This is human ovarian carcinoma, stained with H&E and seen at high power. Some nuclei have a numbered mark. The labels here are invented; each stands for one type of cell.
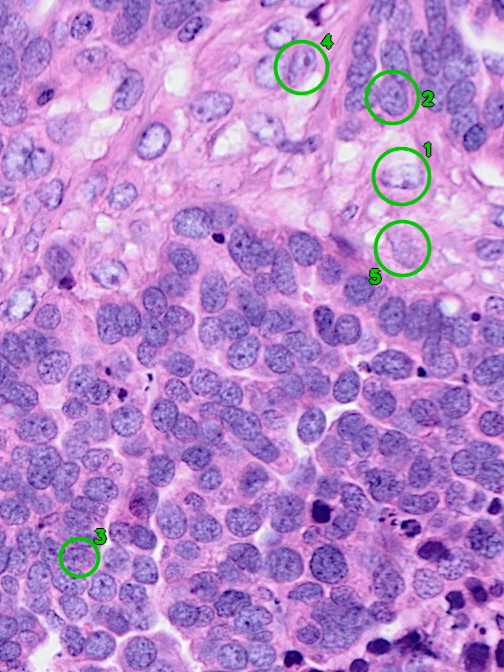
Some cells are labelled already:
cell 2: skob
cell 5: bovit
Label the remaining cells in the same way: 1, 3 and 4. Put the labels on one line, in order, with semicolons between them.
bovit; skob; bovit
